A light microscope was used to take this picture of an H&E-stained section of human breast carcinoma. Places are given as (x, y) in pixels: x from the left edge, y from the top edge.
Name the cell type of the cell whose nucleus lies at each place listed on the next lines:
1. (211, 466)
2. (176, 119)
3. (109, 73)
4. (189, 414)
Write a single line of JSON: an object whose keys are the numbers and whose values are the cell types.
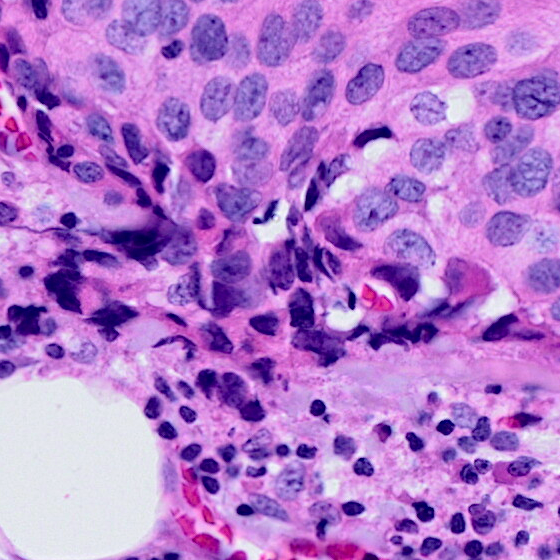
{"1": "lymphocyte", "2": "carcinoma cell", "3": "carcinoma cell", "4": "lymphocyte"}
